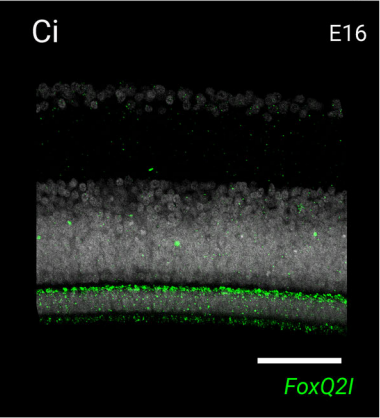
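At the top lie sparse large round nuclei of the ganglion cell layer, above a dark nucleus-poor band. Below this, a thick band of densely packed nuclei forms the inner nuclear layer, with only a few scattered green specks. Beyond a narrow dark band, a thin bright band of green lies in the outer photoreceptor layer, with a fainter row of green just beneath it. The layering is sharp and compact, as in a maturing retina.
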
